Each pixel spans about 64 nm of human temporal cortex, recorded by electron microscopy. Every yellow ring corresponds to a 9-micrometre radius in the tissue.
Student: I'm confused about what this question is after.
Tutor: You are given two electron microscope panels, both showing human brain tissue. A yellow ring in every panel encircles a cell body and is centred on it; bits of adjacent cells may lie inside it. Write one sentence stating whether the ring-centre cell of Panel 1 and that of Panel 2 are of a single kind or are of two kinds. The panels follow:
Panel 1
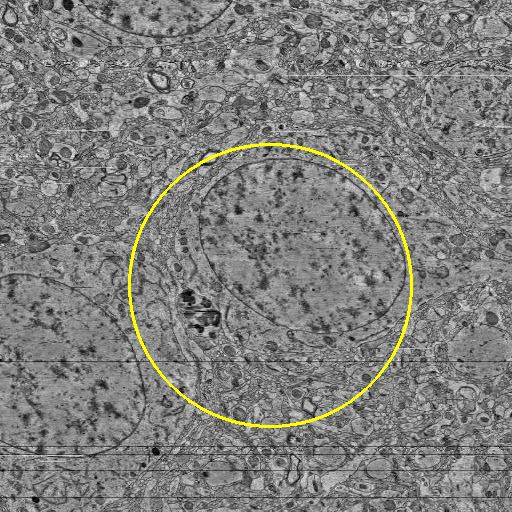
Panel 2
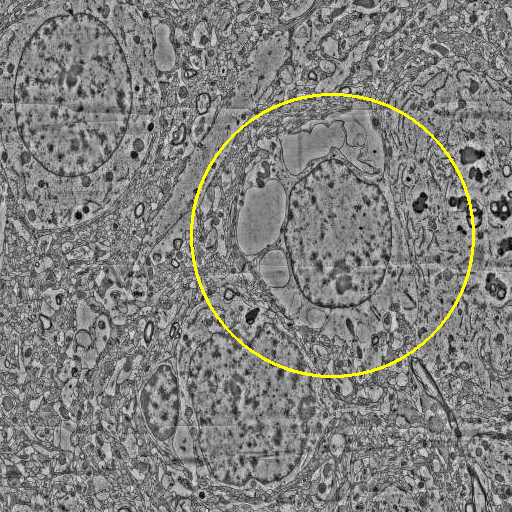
Here, the Panel 1 ring-centre cell and the Panel 2 ring-centre cell are of two kinds.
